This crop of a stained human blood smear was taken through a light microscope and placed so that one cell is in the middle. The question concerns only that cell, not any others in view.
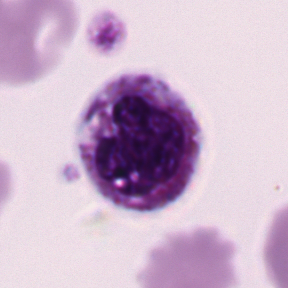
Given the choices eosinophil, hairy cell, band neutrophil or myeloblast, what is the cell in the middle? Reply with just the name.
eosinophil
